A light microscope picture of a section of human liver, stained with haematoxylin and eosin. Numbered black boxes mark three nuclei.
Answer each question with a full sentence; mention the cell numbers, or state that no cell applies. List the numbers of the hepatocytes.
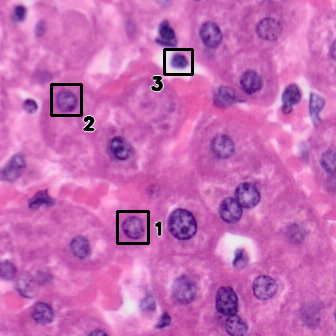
Cells 1 and 2 share one type; they are hepatocytes.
